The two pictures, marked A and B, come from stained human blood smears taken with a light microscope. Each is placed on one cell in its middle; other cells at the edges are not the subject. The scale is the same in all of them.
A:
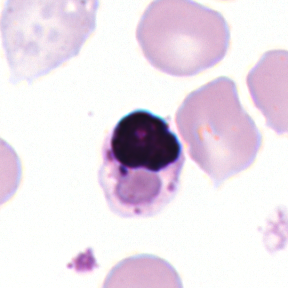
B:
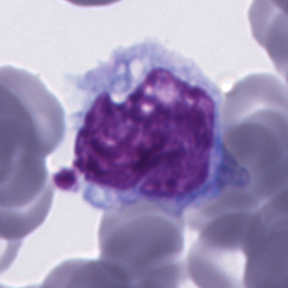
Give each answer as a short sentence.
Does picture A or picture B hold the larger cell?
Larger is the cell in picture B, at roughly 3 times the area of the other.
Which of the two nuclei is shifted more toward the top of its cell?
In picture A the nucleus is shifted more toward the top.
